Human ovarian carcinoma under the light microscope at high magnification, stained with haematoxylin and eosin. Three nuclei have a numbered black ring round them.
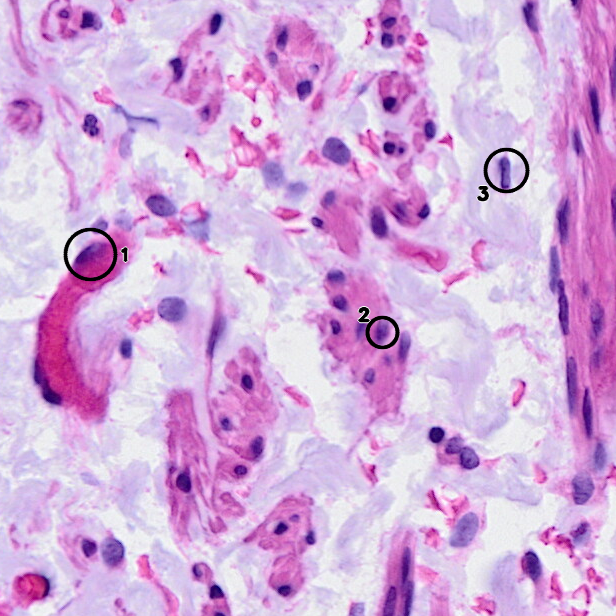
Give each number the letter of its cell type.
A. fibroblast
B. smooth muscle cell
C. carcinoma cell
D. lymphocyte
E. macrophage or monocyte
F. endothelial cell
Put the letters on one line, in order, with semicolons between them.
F; B; A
